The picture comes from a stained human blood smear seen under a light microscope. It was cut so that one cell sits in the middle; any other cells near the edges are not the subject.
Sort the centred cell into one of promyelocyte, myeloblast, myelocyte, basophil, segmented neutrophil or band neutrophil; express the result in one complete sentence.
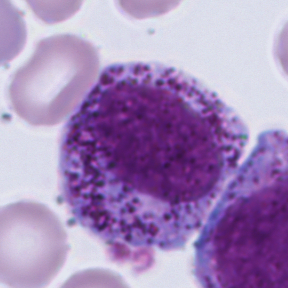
In the central position of this crop, the cell is a myelocyte.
